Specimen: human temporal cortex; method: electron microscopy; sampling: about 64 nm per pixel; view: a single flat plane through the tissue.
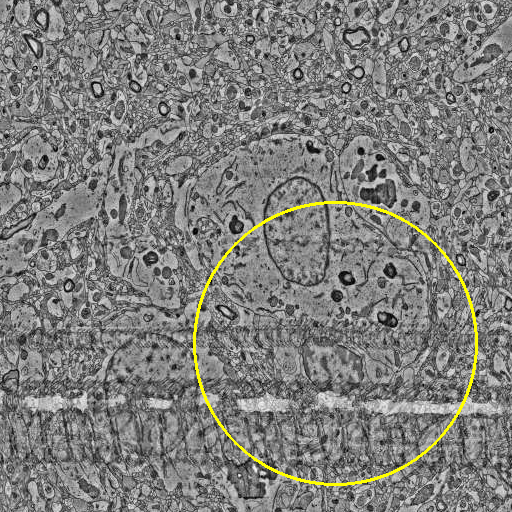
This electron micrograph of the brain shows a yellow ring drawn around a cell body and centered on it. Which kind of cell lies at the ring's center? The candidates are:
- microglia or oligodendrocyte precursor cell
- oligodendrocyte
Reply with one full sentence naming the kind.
The cell lying at the ring's center in this micrograph is a microglial cell or oligodendrocyte precursor cell.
